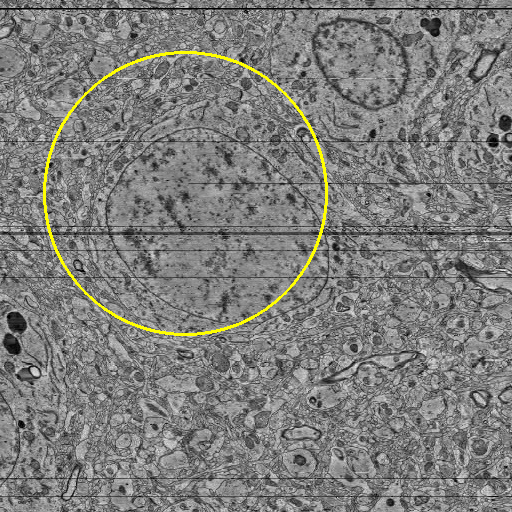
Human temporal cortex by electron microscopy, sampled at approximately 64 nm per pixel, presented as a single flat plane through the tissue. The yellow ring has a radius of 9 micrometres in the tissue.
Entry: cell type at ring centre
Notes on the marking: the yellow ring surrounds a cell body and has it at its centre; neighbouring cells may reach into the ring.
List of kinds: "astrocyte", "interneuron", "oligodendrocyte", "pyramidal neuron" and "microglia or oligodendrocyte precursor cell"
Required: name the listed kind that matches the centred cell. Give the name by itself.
pyramidal neuron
